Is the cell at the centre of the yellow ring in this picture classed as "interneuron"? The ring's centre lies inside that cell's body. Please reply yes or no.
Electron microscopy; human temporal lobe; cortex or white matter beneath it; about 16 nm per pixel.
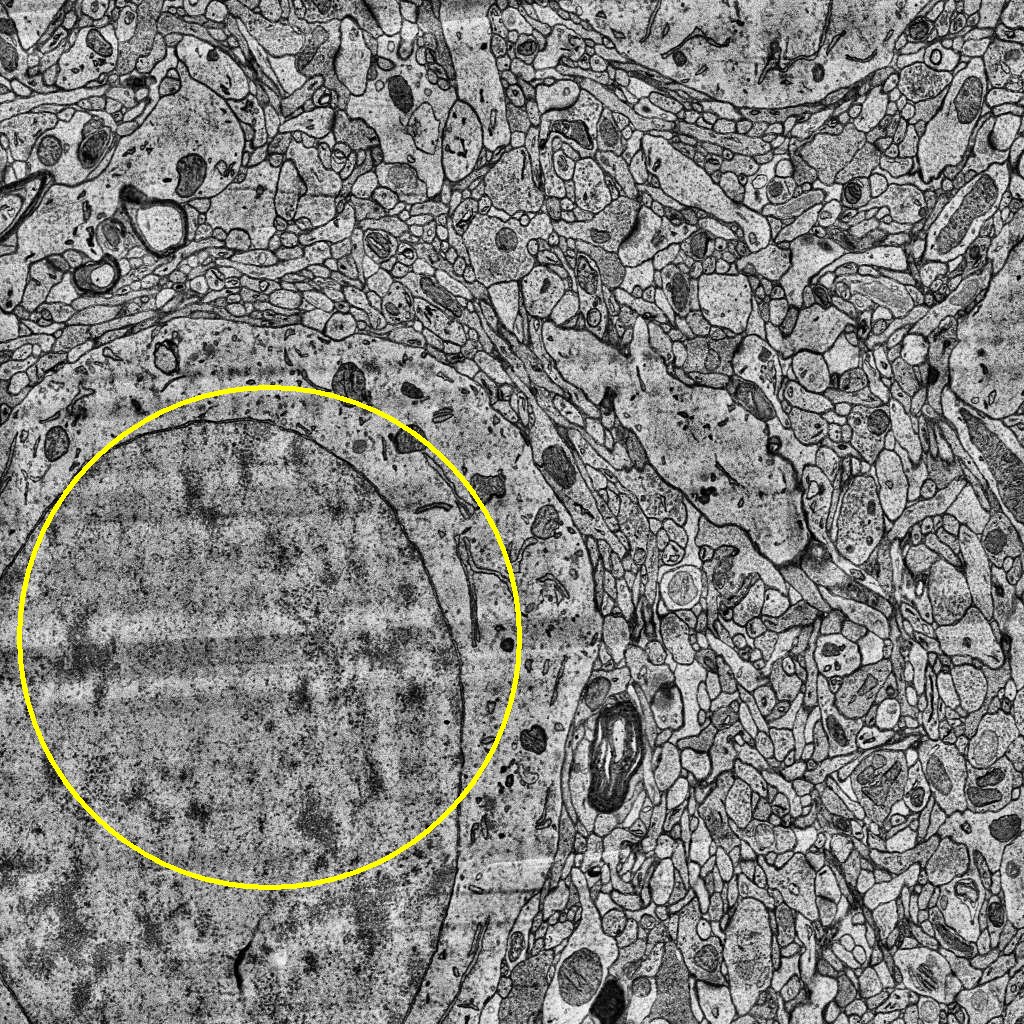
No, it is of another kind.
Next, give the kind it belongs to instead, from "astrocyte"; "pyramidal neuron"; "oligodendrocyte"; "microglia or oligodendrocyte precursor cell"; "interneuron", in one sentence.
Instead, the ring surrounds a pyramidal neuron in this picture.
